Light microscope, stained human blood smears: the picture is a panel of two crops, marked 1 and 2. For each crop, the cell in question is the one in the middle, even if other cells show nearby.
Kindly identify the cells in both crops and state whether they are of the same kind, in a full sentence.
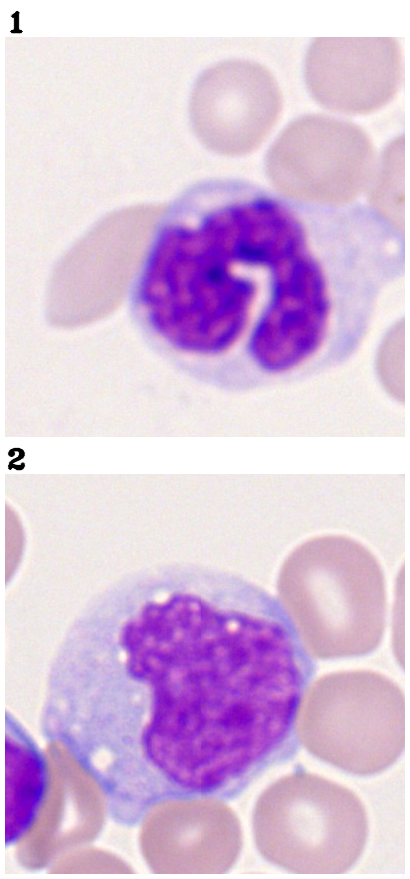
Yes, both crops show a cell each, and these are monocytes.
